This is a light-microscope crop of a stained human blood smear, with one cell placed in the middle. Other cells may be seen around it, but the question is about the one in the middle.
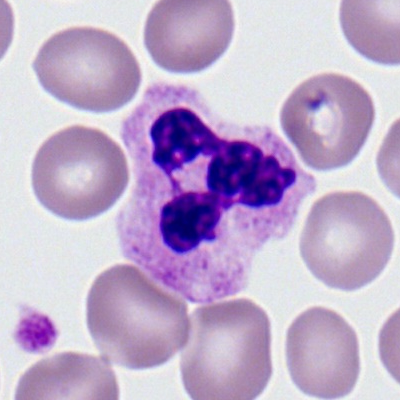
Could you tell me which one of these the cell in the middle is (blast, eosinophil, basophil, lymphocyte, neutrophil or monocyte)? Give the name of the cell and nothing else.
neutrophil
